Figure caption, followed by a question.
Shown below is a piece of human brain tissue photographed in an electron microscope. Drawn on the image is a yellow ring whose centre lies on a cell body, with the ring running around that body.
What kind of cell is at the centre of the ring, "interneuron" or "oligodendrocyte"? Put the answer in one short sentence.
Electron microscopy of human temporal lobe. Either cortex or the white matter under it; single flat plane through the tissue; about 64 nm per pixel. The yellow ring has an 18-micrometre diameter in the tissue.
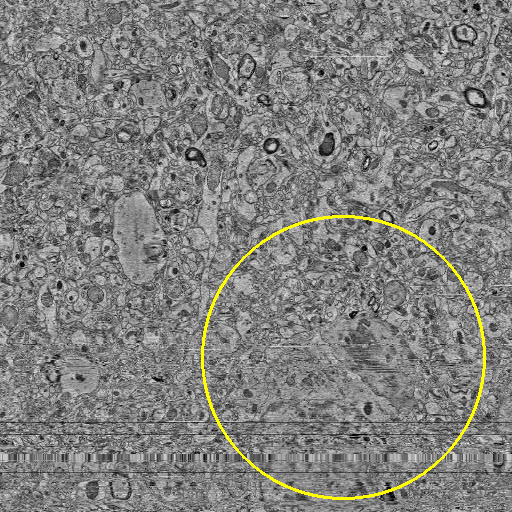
The ring marks the cell body of an oligodendrocyte.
